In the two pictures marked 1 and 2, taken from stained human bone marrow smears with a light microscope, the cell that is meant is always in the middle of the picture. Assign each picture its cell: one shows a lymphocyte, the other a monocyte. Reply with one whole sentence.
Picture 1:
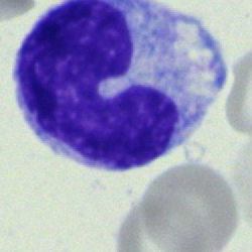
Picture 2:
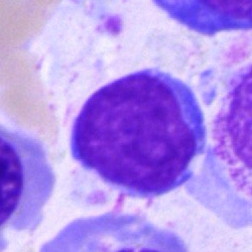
The cell in picture 1 is a monocyte, and the one in picture 2 is a lymphocyte.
